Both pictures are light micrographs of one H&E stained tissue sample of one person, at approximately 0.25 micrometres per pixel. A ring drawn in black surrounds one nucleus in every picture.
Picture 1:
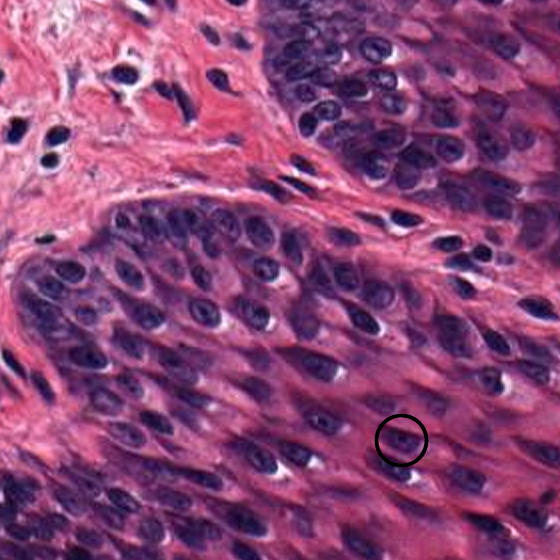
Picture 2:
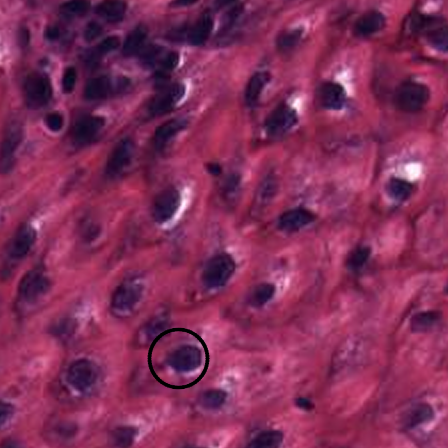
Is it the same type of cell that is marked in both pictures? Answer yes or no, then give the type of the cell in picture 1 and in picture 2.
Yes, both are squamous epithelial cells.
